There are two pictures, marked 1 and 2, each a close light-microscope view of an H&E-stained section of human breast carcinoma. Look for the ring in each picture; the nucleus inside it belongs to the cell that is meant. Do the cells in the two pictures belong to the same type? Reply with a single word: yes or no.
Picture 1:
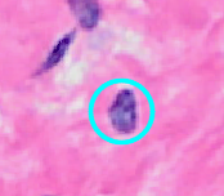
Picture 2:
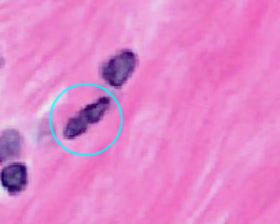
yes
